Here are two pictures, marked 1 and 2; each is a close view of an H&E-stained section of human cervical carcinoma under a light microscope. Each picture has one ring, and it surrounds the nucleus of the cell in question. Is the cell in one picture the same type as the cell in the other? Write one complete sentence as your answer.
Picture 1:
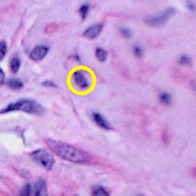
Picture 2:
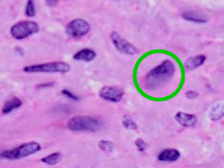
No, they differ: the cell is a smooth muscle cell in picture 1 and a fibroblast in picture 2.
